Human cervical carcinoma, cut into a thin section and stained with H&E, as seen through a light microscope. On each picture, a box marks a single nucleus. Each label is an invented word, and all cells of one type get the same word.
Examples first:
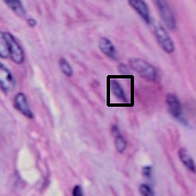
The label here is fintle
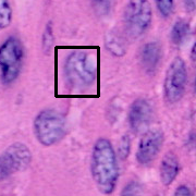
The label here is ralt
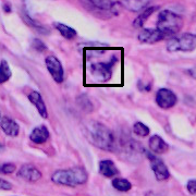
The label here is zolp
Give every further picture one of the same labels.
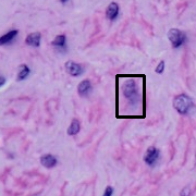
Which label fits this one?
fintle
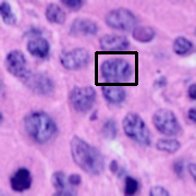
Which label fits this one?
ralt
